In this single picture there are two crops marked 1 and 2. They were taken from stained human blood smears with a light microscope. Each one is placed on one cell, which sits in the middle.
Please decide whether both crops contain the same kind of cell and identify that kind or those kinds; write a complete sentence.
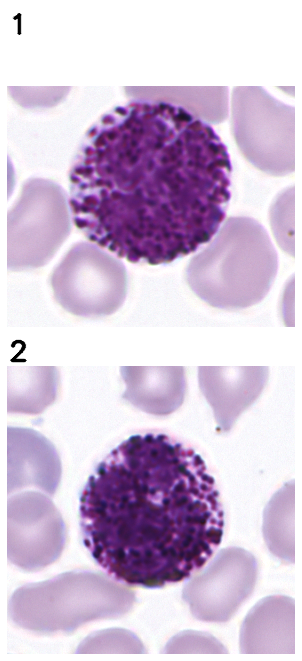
Yes, both crops show basophils as the central cells.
